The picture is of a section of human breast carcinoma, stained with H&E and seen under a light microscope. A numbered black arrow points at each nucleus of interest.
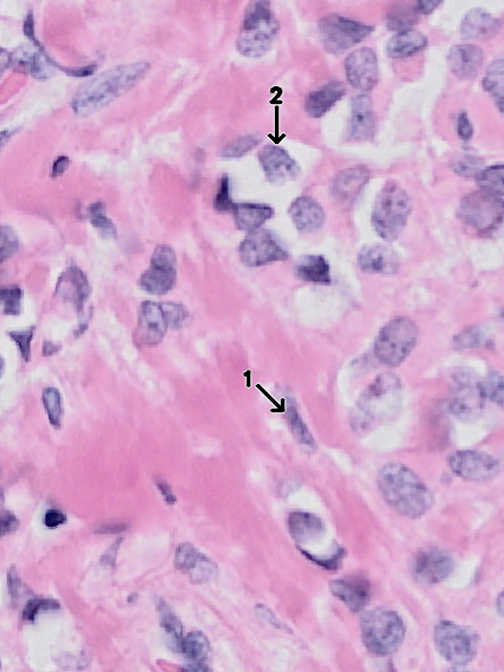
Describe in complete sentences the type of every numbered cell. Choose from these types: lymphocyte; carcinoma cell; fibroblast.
Cell 1 is a fibroblast. Cell 2 is a carcinoma cell.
